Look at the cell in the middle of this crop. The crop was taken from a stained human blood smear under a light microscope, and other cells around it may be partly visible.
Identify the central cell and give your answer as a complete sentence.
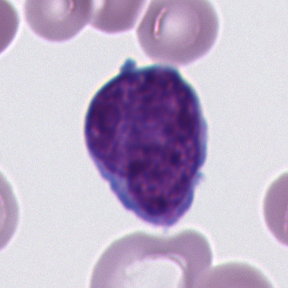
The cell centred in this crop is categorized as an atypical promyelocyte.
